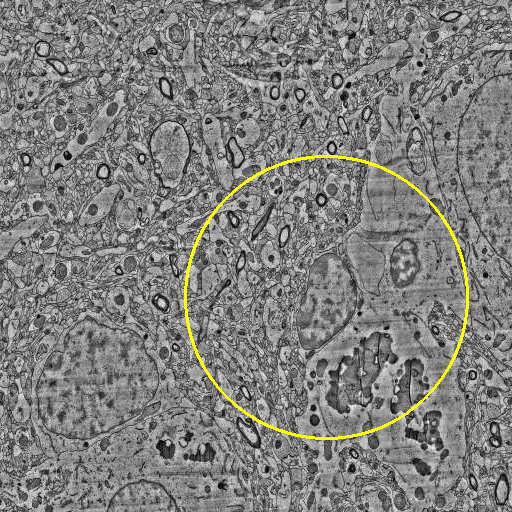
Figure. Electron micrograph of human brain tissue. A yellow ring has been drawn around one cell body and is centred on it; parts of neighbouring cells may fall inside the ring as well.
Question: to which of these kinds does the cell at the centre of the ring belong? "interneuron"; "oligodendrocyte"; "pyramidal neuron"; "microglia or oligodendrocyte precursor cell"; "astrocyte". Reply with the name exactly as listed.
microglia or oligodendrocyte precursor cell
